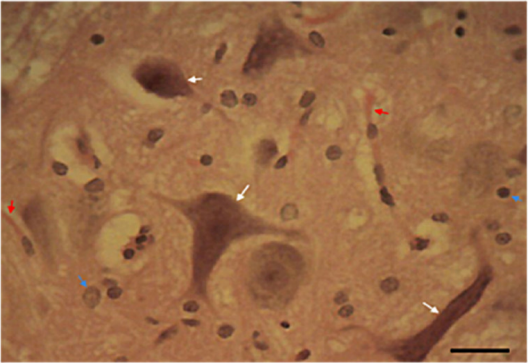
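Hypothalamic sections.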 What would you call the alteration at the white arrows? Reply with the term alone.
Neuronal necrosis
